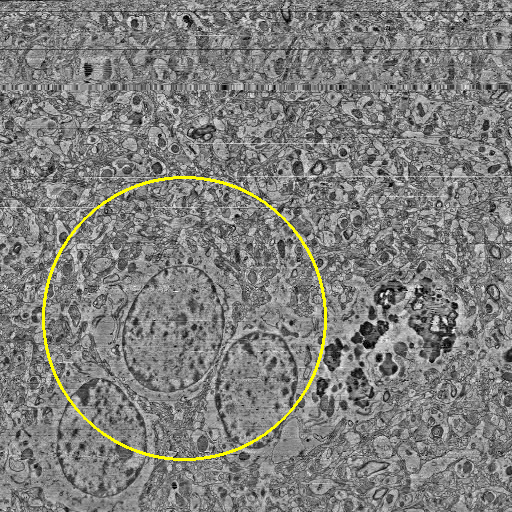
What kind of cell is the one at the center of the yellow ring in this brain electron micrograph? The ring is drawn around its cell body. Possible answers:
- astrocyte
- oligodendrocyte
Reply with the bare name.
astrocyte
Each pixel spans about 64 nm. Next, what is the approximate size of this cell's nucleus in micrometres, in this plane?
In this plane, roughly 9 by 6 micrometres.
